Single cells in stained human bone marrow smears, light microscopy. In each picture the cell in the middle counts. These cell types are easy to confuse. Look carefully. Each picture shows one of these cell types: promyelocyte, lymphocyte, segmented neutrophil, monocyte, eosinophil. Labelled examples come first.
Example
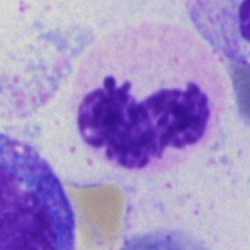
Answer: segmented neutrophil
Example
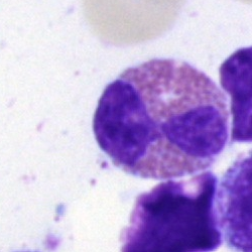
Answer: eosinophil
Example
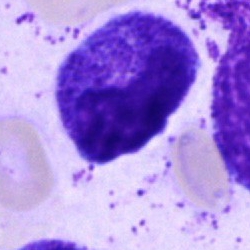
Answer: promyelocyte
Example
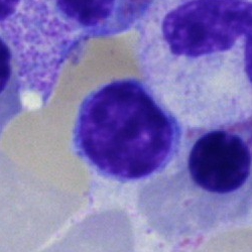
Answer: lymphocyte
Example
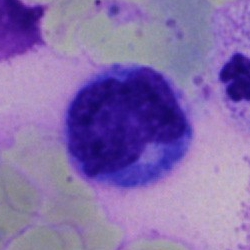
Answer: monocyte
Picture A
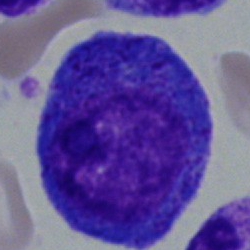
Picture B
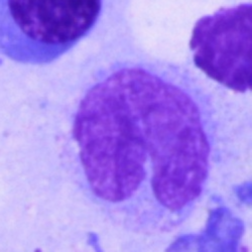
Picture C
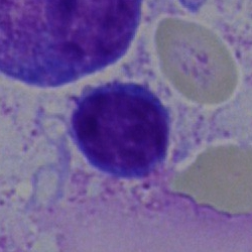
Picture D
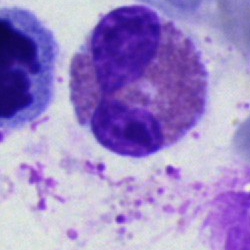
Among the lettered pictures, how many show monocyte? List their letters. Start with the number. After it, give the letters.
1, namely B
